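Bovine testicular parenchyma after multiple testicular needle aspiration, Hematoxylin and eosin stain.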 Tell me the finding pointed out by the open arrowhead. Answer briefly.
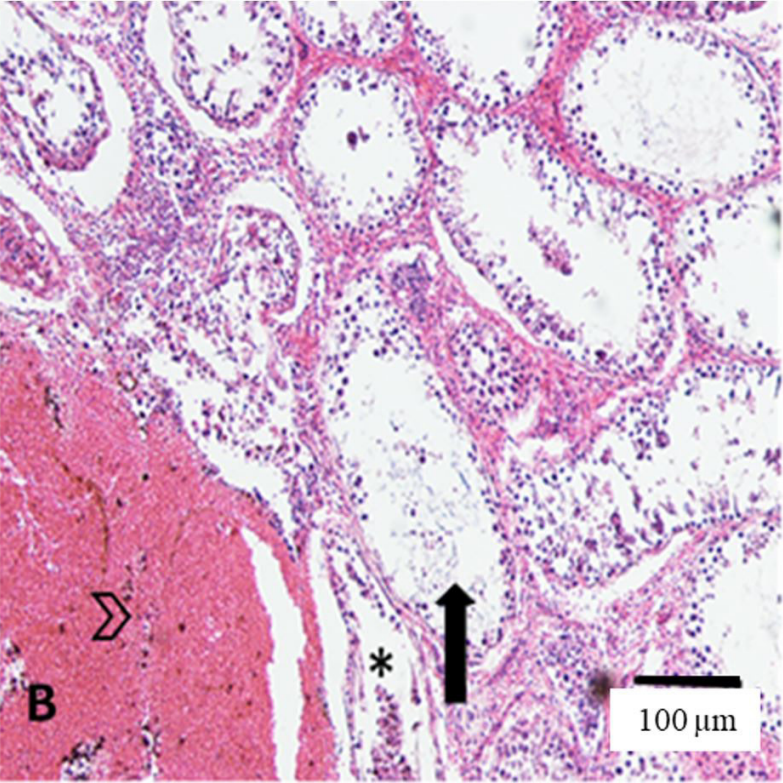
Hemorrhagic areas.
